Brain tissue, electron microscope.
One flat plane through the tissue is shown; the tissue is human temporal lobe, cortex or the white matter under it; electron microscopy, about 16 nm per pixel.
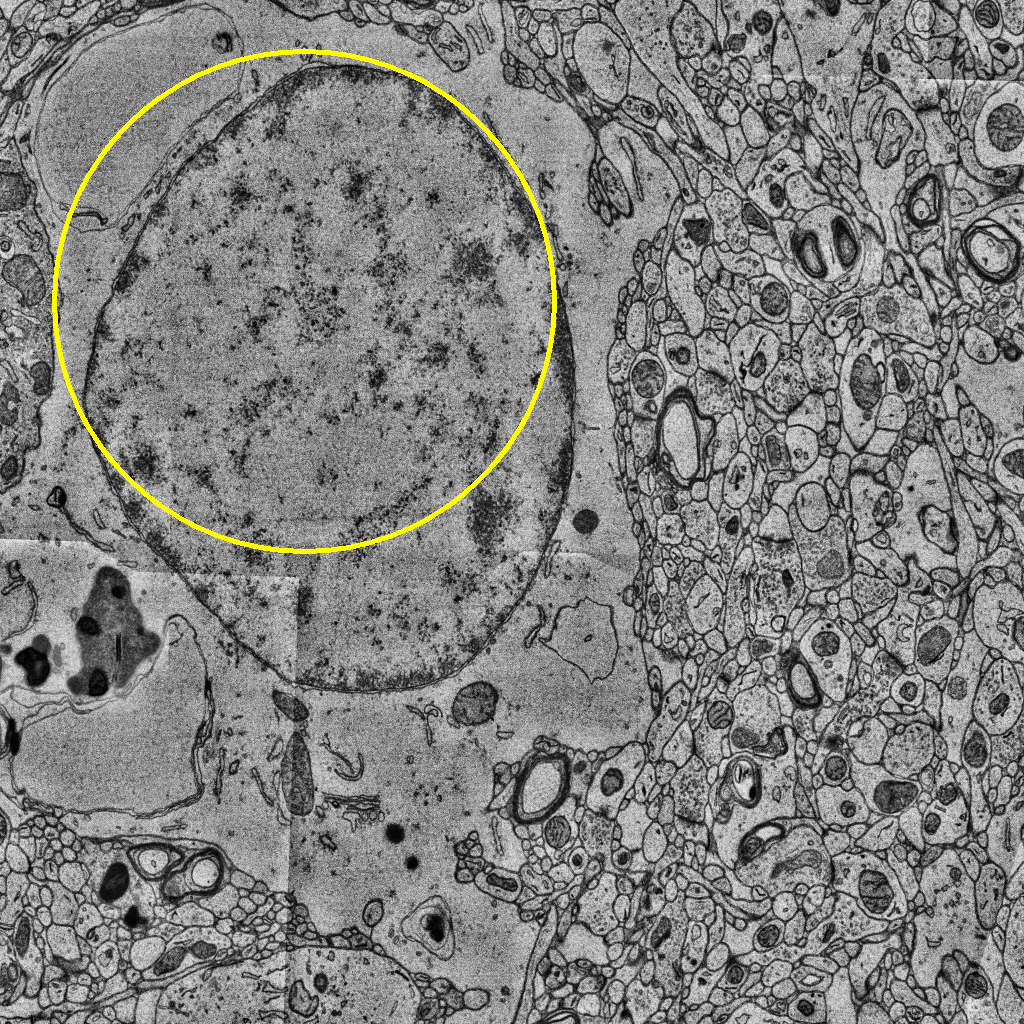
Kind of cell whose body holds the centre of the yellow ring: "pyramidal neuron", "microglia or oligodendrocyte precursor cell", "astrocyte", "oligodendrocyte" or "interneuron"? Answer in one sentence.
The ring's centre falls on an astrocyte.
